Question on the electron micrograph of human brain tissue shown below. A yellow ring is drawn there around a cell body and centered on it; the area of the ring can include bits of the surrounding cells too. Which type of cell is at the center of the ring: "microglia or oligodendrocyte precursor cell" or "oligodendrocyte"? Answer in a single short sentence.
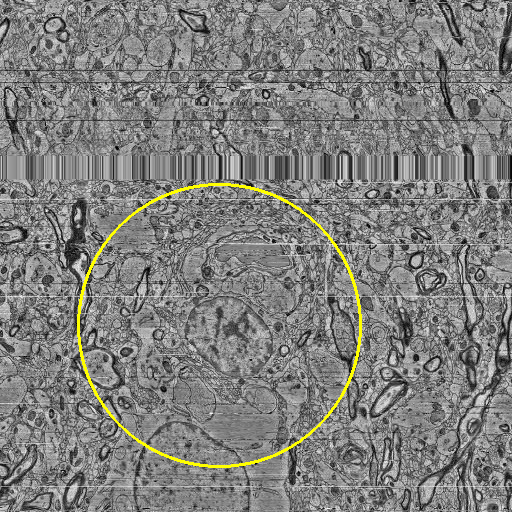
The ring is centered on an oligodendrocyte.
